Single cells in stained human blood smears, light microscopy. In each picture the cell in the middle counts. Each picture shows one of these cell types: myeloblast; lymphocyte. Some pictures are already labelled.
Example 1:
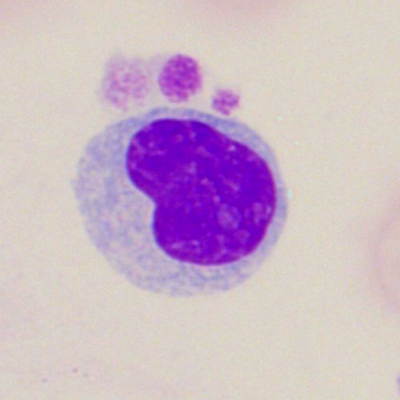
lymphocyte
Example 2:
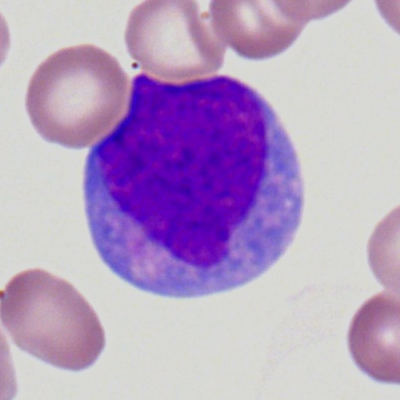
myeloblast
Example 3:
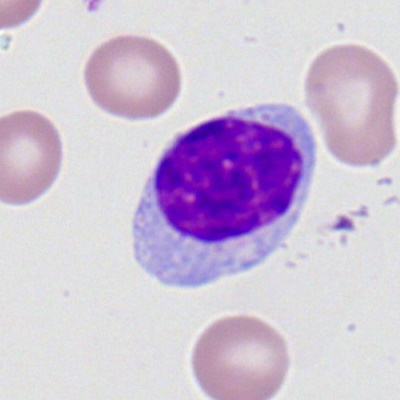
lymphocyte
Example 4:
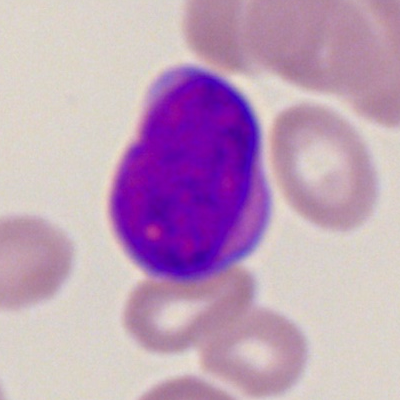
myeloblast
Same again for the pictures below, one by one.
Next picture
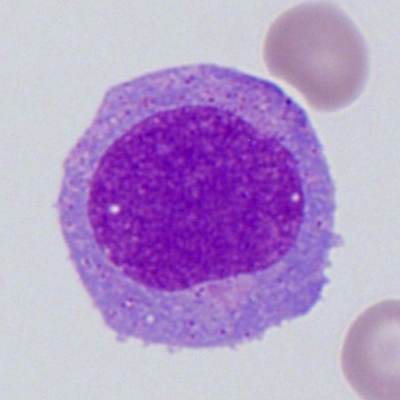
myeloblast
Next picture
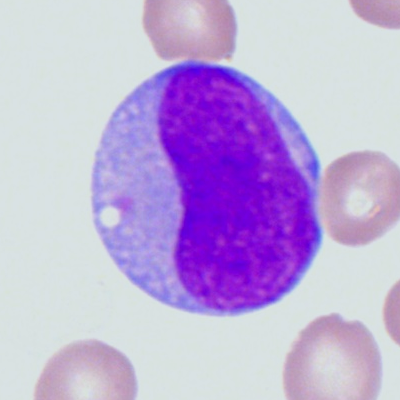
myeloblast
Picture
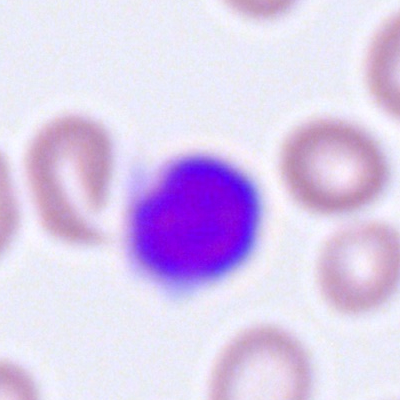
lymphocyte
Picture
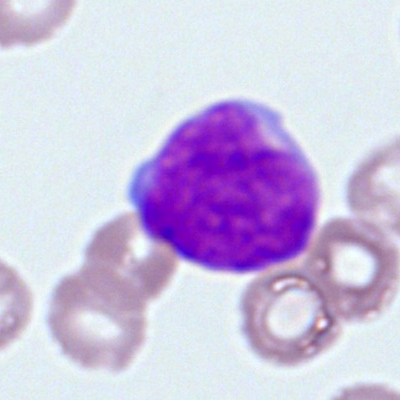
myeloblast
